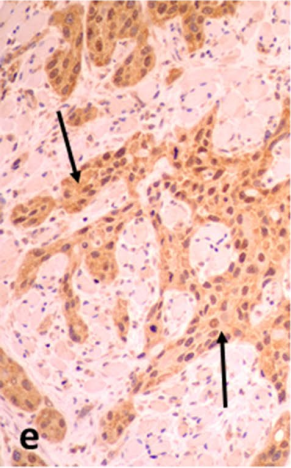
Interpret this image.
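The tumor cells have oval nuclei that are stained brown, and their cytoplasm is also diffusely brown, so the cords stand out as brown bands. The cords are irregular, narrow in places and widening into larger nests. The stroma between them is pale with scattered small bluish nuclei and rounded pale spaces, which remain largely unstained in contrast to the tumor cords.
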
